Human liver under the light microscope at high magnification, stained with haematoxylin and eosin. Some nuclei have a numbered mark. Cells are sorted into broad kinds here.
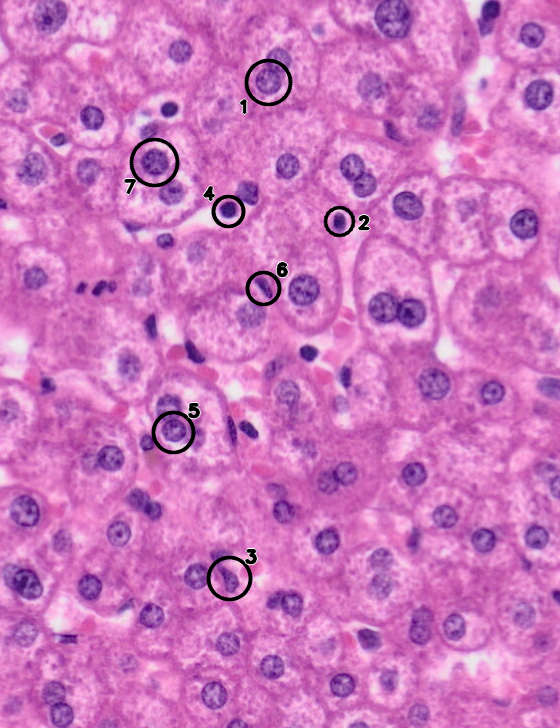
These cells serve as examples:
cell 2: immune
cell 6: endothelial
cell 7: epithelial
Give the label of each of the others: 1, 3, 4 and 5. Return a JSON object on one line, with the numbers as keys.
{"1": "epithelial", "3": "immune", "4": "immune", "5": "epithelial"}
